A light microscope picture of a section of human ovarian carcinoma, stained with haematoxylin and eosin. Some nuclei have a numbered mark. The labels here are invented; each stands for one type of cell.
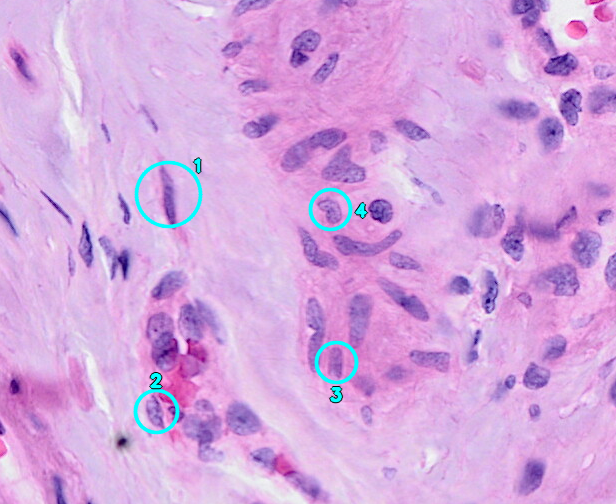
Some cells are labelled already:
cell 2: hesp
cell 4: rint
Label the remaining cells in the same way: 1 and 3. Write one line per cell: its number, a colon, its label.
1: rint
3: rint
